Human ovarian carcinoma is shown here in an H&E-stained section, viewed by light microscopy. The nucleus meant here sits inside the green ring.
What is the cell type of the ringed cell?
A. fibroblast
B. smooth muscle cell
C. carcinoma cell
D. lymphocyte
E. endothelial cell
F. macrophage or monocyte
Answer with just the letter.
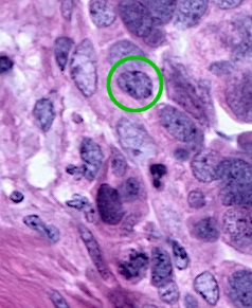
F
